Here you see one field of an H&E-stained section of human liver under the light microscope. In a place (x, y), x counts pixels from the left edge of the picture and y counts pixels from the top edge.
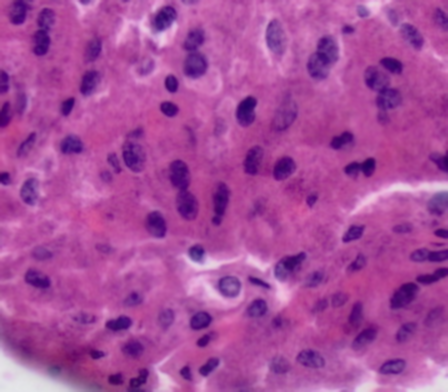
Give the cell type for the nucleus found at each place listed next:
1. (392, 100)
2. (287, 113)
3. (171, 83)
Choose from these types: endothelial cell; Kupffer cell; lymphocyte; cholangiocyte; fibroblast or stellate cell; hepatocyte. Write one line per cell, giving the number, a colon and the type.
1: hepatocyte
2: hepatocyte
3: lymphocyte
